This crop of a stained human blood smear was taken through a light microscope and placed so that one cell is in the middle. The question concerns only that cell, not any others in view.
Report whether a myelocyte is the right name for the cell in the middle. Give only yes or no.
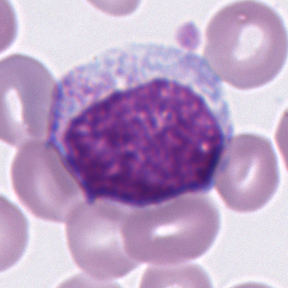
yes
